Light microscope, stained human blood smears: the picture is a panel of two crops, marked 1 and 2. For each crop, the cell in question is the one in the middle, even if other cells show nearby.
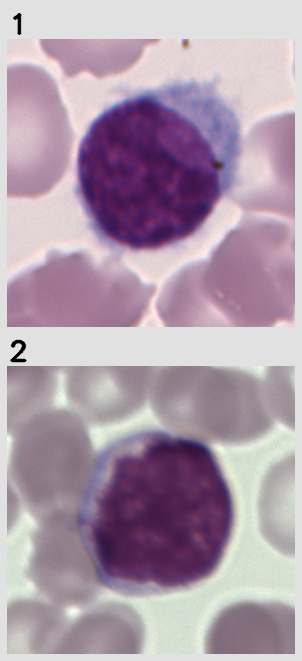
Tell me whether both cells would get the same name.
no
